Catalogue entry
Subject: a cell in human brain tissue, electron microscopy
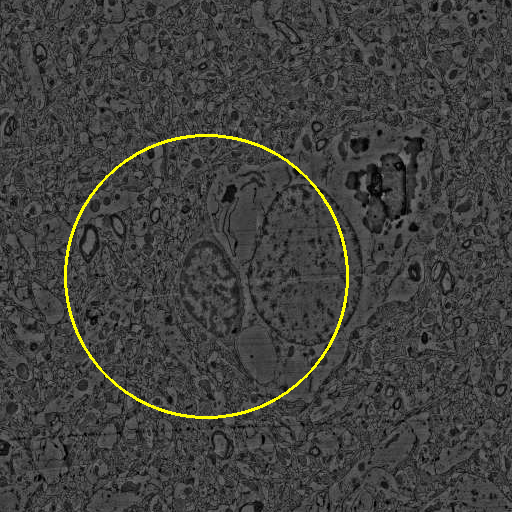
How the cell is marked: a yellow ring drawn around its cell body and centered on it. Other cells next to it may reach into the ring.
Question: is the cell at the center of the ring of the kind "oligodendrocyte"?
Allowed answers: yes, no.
yes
